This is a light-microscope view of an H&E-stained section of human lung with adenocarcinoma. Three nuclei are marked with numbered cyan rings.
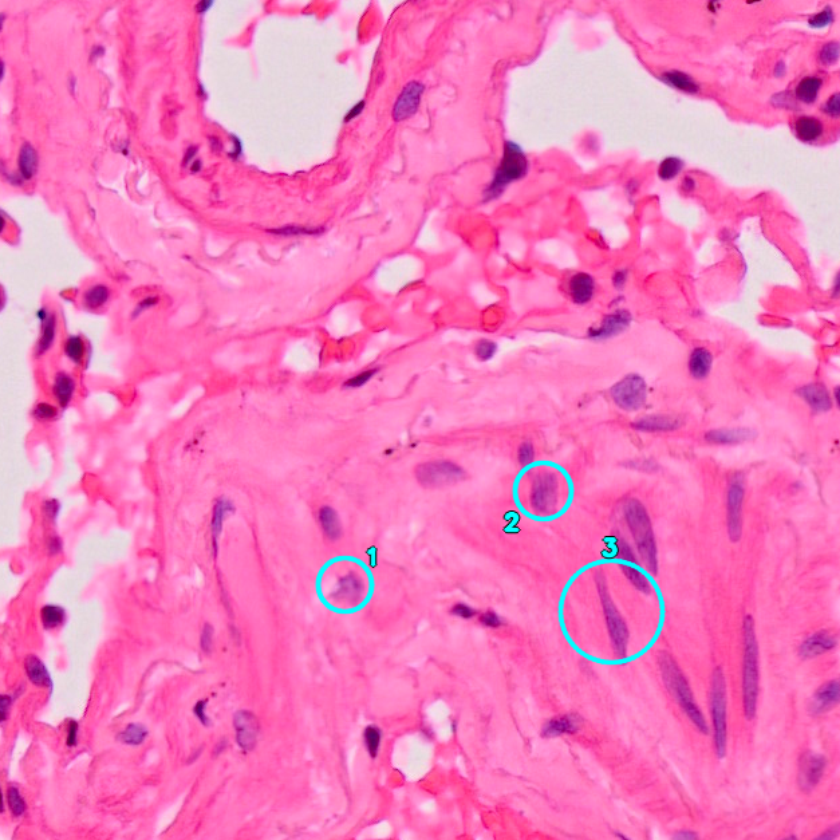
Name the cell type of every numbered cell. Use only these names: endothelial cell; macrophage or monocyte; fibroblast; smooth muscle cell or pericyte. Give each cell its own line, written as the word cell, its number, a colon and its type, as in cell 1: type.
cell 1: fibroblast
cell 2: smooth muscle cell or pericyte
cell 3: smooth muscle cell or pericyte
